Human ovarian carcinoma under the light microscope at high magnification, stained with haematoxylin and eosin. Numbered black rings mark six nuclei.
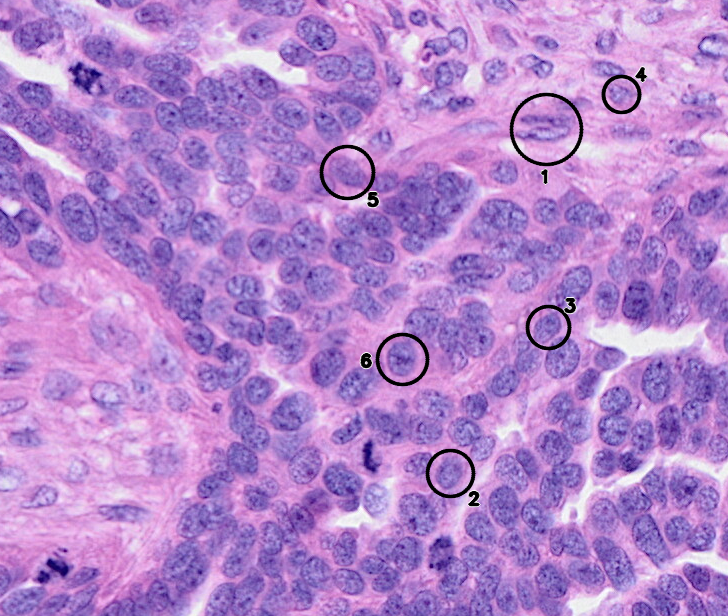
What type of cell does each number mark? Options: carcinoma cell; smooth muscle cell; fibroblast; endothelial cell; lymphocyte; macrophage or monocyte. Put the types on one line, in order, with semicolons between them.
fibroblast; carcinoma cell; carcinoma cell; fibroblast; carcinoma cell; carcinoma cell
